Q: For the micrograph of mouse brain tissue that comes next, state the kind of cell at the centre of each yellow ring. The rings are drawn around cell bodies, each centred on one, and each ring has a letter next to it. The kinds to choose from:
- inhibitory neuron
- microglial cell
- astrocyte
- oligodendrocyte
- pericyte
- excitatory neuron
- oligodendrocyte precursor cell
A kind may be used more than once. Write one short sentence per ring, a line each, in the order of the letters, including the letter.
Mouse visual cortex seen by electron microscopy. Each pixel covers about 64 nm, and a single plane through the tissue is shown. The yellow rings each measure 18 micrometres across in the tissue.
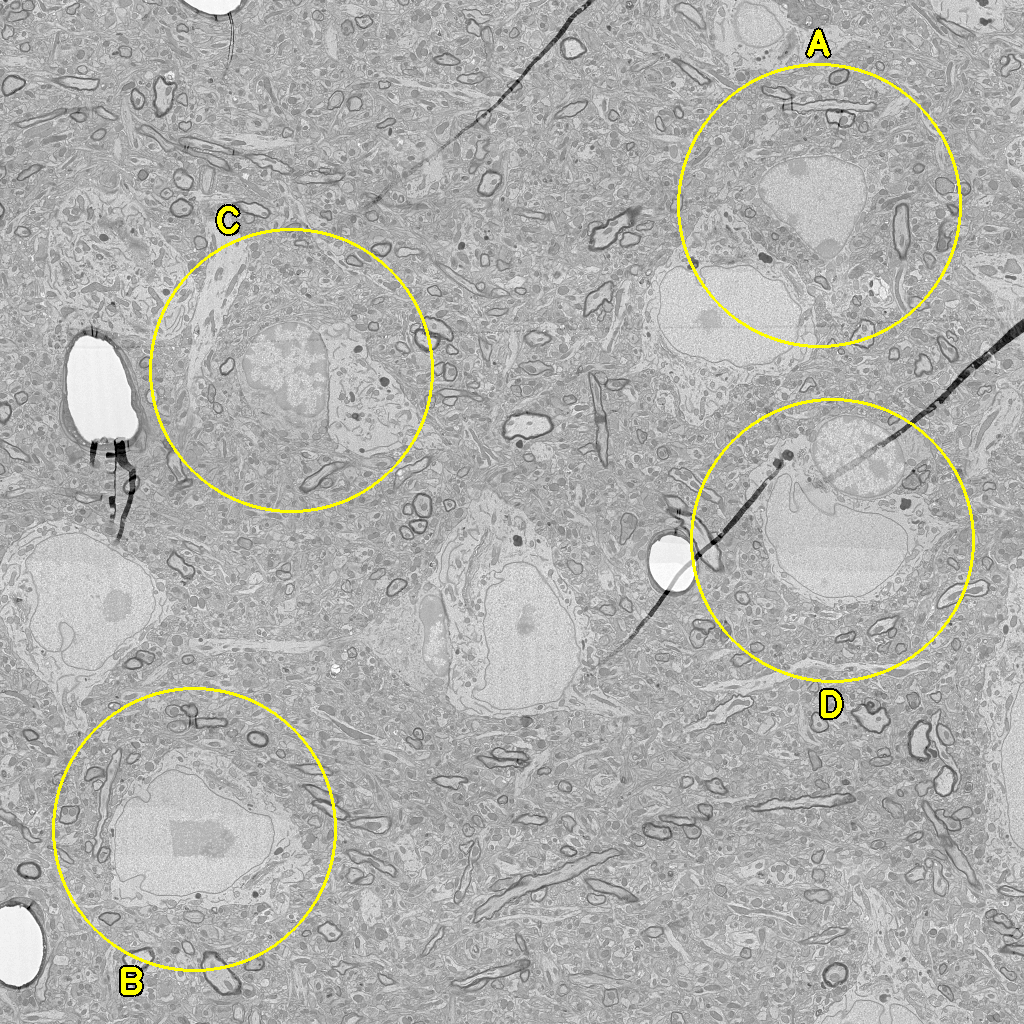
The cell ringed as A is an astrocyte.
The cell ringed as B is an excitatory neuron.
The cell ringed as C is an oligodendrocyte.
The cell ringed as D is an excitatory neuron.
